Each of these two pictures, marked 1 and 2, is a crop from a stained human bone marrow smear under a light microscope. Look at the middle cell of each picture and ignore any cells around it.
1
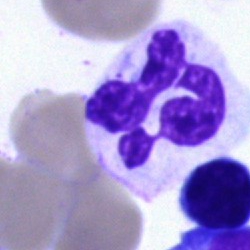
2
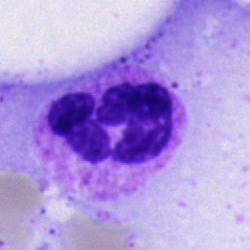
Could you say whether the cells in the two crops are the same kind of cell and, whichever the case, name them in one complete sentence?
Yes, both crops feature segmented neutrophils at the centre.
